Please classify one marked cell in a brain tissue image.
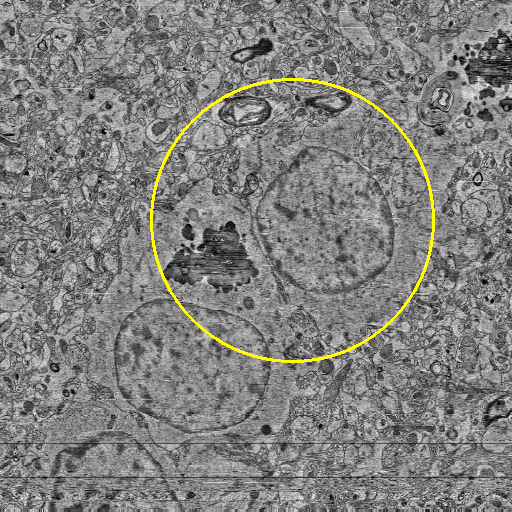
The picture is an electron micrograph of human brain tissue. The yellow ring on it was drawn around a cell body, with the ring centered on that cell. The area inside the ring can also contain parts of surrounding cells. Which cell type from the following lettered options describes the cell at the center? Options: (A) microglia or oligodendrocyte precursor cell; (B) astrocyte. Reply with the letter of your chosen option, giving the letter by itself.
B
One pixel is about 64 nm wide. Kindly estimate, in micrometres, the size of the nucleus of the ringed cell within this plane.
In this plane the nucleus measures roughly 10 by 8 micrometres.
